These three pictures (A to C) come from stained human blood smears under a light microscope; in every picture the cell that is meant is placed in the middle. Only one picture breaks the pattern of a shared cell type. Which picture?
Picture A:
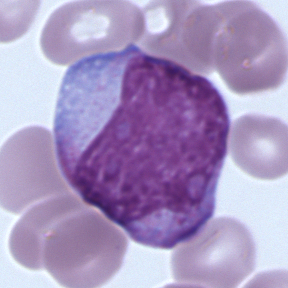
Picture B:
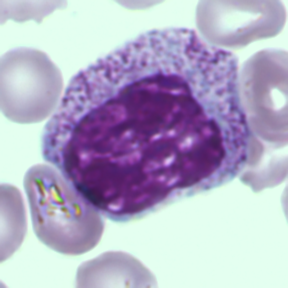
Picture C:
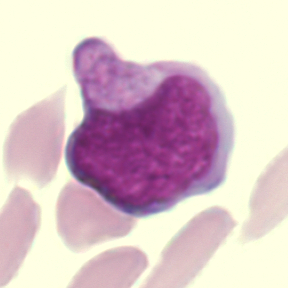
B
